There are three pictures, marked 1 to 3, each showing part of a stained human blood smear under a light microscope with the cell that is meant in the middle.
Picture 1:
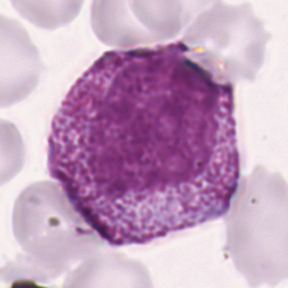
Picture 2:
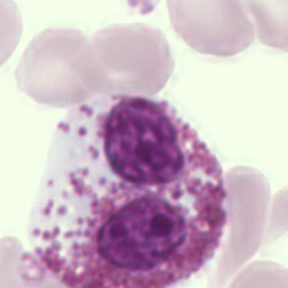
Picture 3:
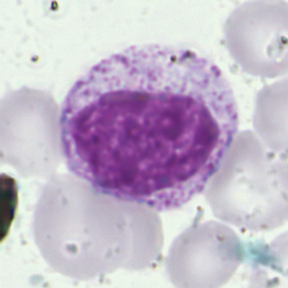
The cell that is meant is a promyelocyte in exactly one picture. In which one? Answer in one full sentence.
The picture with the promyelocyte is 1.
